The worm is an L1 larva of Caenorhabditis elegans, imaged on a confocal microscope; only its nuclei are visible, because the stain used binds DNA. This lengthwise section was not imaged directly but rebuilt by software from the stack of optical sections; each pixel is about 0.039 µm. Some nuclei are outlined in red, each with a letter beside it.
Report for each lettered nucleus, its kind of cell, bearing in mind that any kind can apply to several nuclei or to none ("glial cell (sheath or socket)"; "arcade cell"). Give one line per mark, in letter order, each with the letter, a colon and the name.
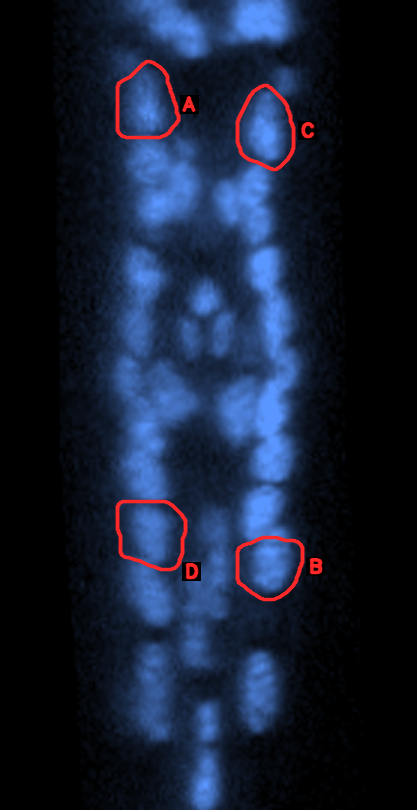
A: glial cell (sheath or socket)
B: glial cell (sheath or socket)
C: glial cell (sheath or socket)
D: arcade cell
